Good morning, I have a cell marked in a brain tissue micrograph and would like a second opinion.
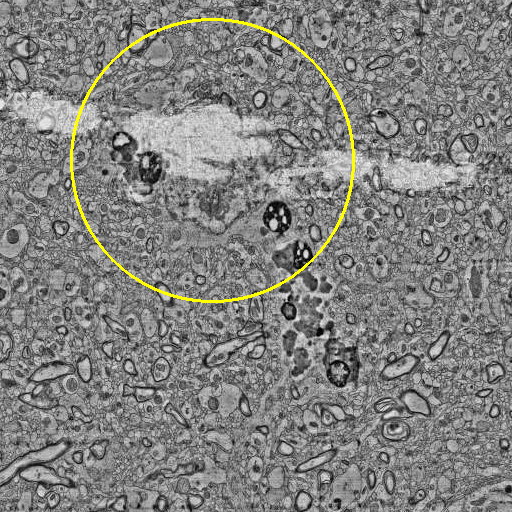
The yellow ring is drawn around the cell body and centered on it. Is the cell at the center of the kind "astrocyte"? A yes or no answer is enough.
yes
